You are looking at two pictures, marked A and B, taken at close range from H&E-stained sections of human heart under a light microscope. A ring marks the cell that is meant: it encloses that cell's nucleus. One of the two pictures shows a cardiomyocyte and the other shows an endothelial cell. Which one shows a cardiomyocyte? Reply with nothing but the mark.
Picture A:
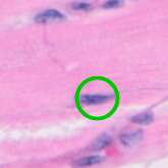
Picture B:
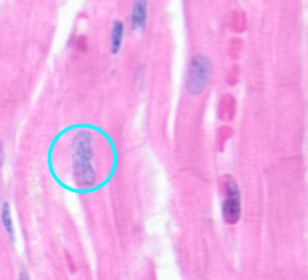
B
